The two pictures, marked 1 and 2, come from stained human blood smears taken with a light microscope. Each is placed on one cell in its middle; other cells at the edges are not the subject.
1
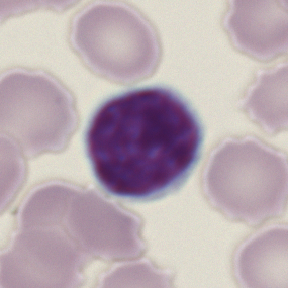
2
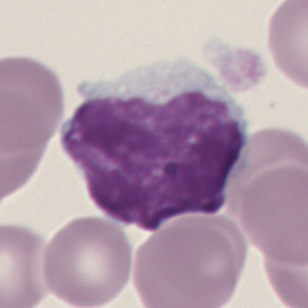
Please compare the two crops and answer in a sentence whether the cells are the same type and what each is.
Yes, in short, both crops show typical lymphocytes.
